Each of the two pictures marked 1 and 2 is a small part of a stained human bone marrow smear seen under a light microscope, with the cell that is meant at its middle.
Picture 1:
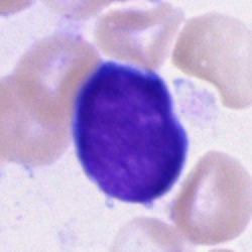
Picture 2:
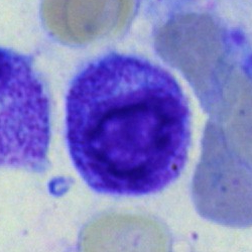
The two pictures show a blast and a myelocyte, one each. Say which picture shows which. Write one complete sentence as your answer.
Picture 1 shows a blast and picture 2 shows a myelocyte.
